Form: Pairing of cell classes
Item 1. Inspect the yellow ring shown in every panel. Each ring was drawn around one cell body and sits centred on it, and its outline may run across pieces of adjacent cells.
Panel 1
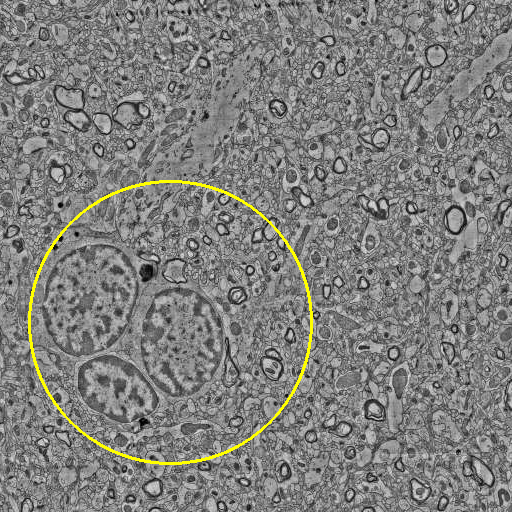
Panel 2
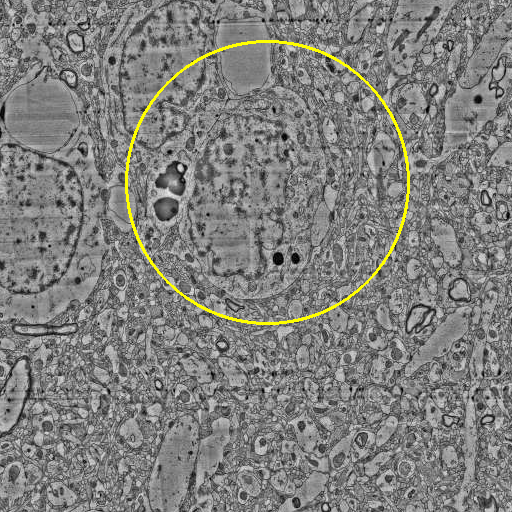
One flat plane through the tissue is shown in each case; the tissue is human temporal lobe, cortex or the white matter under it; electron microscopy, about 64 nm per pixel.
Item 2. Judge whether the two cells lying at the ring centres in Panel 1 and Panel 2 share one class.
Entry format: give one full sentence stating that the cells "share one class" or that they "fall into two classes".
The cells at the ring centres in Panel 1 and Panel 2 fall into two classes.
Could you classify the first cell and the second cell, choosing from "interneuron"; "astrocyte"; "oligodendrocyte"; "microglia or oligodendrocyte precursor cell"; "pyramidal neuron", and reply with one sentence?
The second cell is an interneuron, while the first is an oligodendrocyte.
